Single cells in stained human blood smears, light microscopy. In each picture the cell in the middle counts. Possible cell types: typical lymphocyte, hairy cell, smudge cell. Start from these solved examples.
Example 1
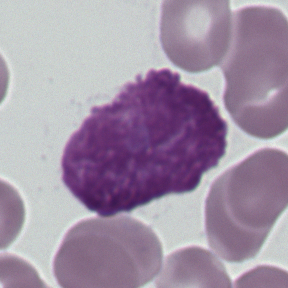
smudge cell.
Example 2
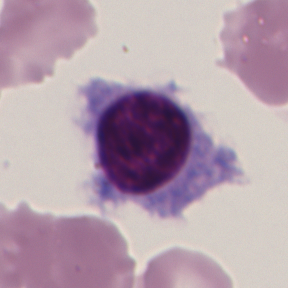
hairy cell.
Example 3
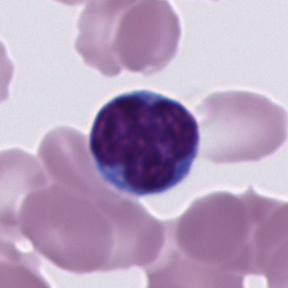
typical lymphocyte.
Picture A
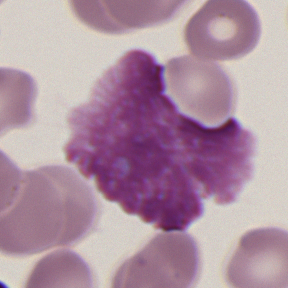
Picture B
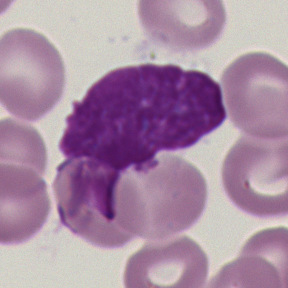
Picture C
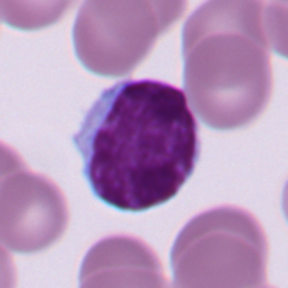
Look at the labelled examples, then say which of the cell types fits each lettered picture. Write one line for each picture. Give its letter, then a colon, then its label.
A: smudge cell.
B: smudge cell.
C: typical lymphocyte.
